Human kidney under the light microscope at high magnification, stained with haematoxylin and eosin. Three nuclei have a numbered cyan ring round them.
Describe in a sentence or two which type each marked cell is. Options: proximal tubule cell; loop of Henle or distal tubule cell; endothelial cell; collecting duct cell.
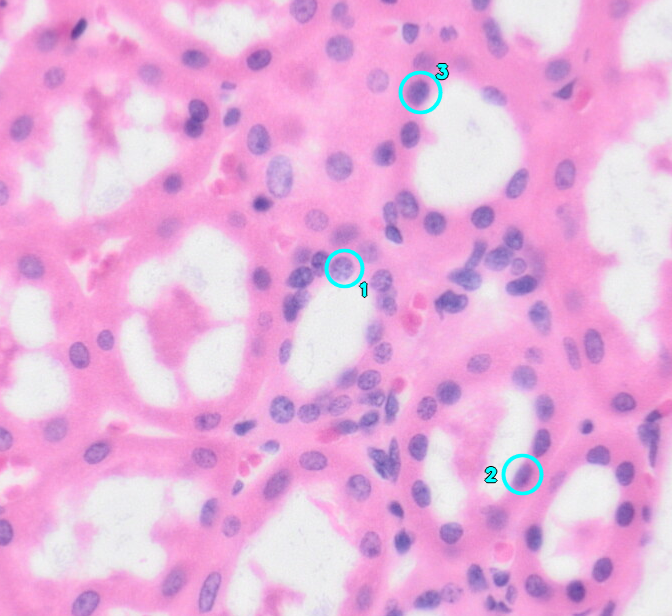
Cell 1 is a collecting duct cell, cell 2 is a loop of Henle or distal tubule cell and cell 3 is a loop of Henle or distal tubule cell.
